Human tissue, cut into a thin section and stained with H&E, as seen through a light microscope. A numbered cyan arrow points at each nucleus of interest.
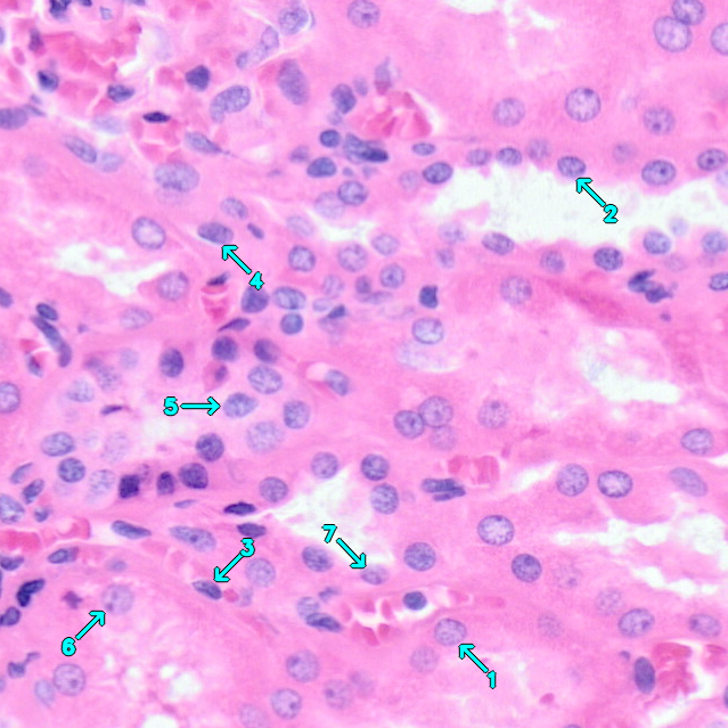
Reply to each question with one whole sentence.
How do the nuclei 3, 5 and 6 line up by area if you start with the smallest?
By area, going up from the smallest, they rank 3, 5, 6.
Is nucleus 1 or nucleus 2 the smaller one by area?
Number 2 is smaller, since number 1 takes up about 1.5 times as much area.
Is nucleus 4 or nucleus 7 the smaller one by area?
Nucleus 7 is the smaller one; nucleus 4 covers about 1.5 times its area.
